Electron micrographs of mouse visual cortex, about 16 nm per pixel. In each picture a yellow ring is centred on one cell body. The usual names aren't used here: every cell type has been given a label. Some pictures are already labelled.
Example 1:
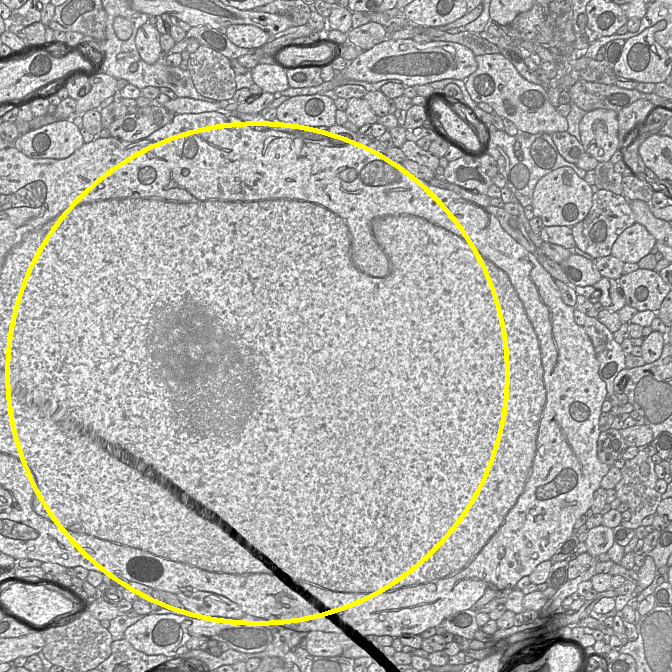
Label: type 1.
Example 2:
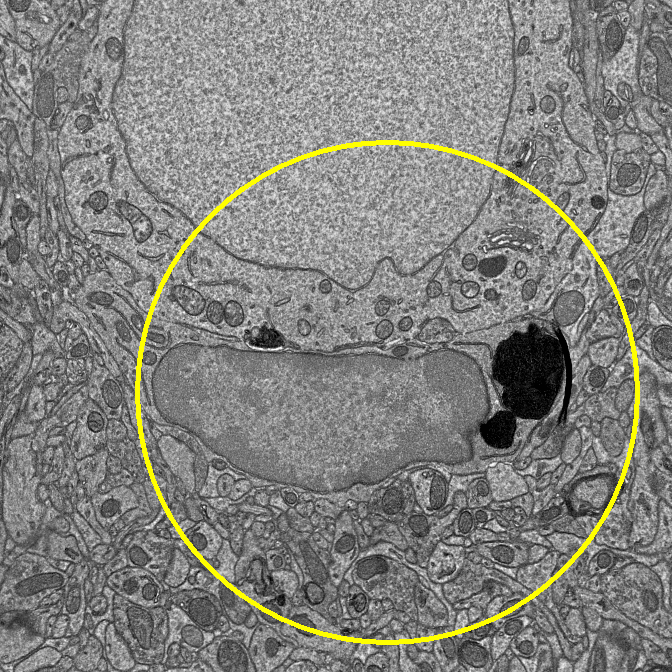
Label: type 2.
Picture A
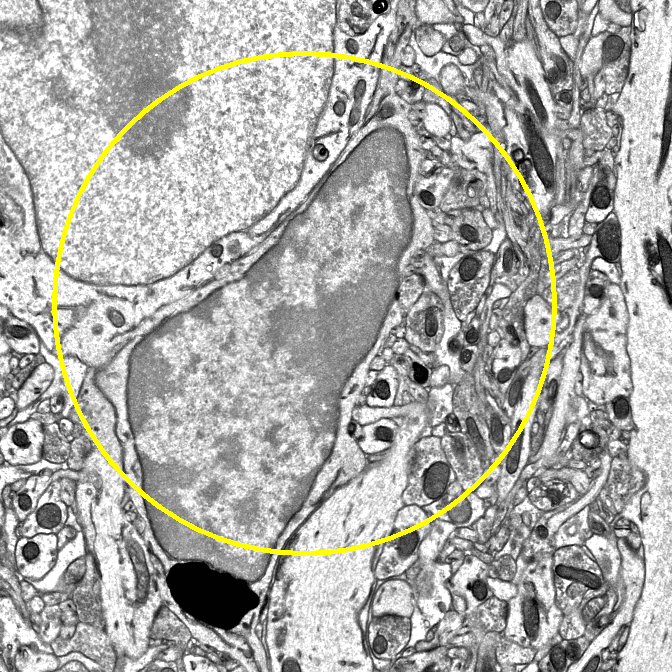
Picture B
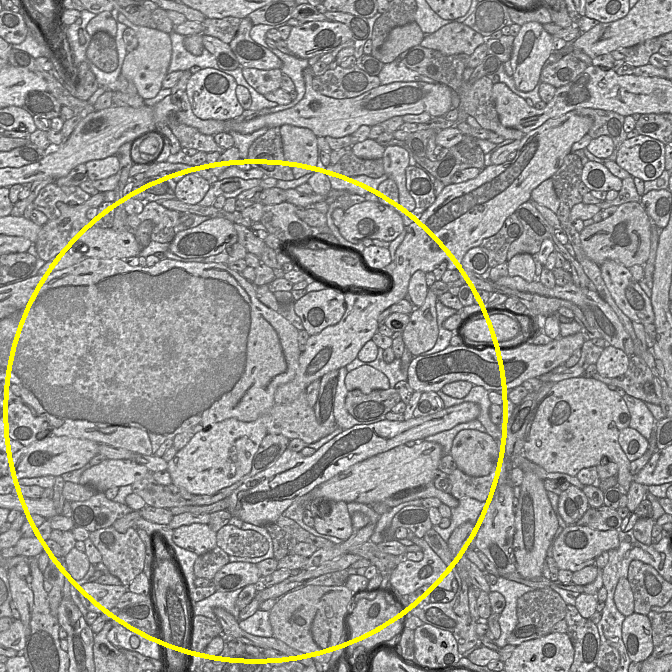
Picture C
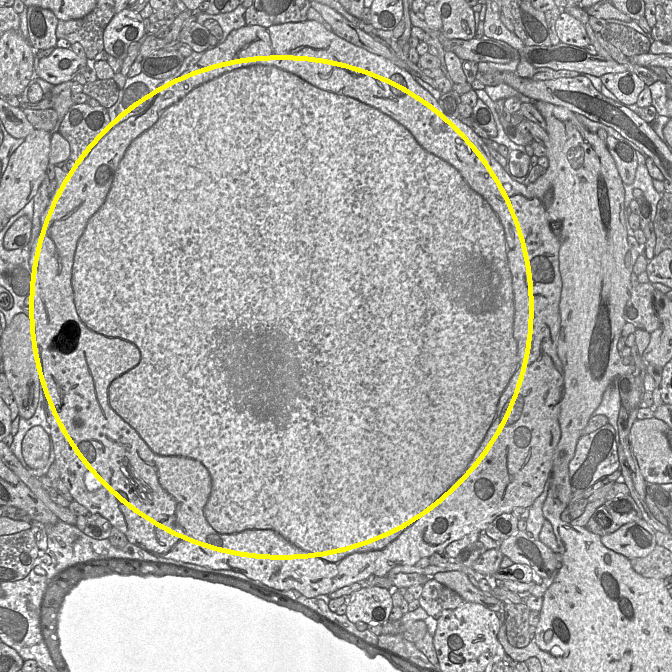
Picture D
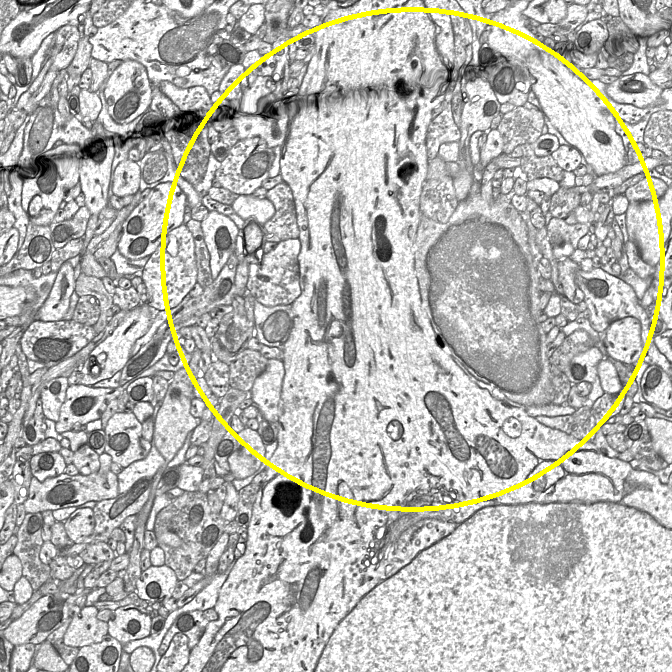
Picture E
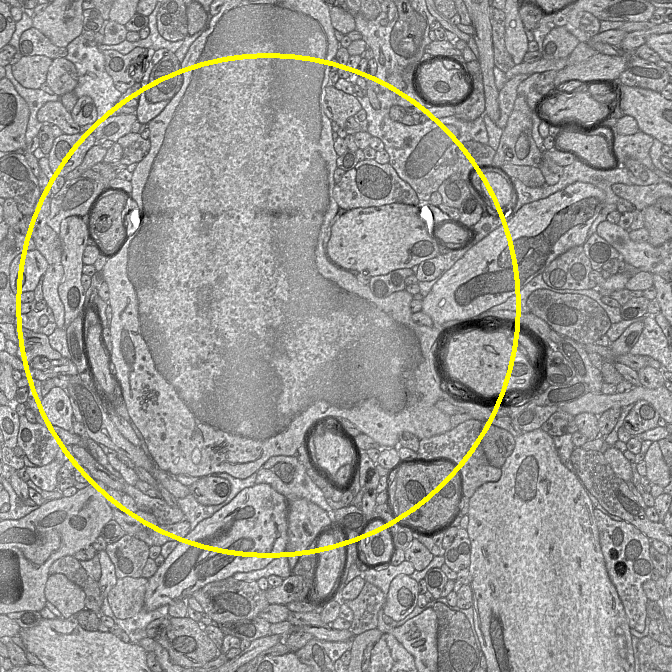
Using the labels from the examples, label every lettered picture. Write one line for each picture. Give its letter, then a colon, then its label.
A: type 2.
B: type 2.
C: type 1.
D: type 2.
E: type 2.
